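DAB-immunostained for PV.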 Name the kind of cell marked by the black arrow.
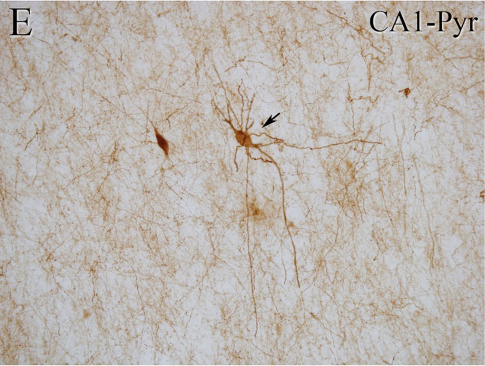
Neurons.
